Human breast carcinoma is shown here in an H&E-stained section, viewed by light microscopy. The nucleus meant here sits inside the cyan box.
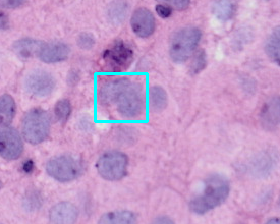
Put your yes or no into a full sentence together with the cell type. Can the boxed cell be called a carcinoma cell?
Yes, no change needed: the boxed cell is a carcinoma cell.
